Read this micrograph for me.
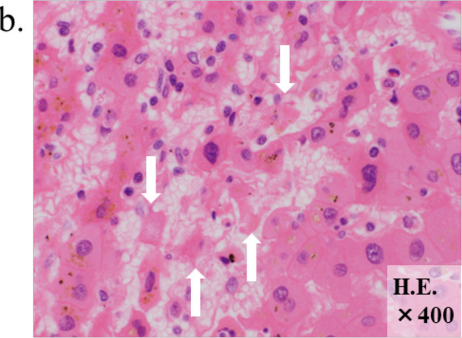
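Liver tissue with large polygonal hepatocytes with pink cytoplasm and round nuclei, some cells showing small brown-golden granules. Between the hepatocyte plates the sinusoidal spaces are widened and contain pale, finely granular, foamy material. Scattered smaller dark nuclei lie along these spaces.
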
